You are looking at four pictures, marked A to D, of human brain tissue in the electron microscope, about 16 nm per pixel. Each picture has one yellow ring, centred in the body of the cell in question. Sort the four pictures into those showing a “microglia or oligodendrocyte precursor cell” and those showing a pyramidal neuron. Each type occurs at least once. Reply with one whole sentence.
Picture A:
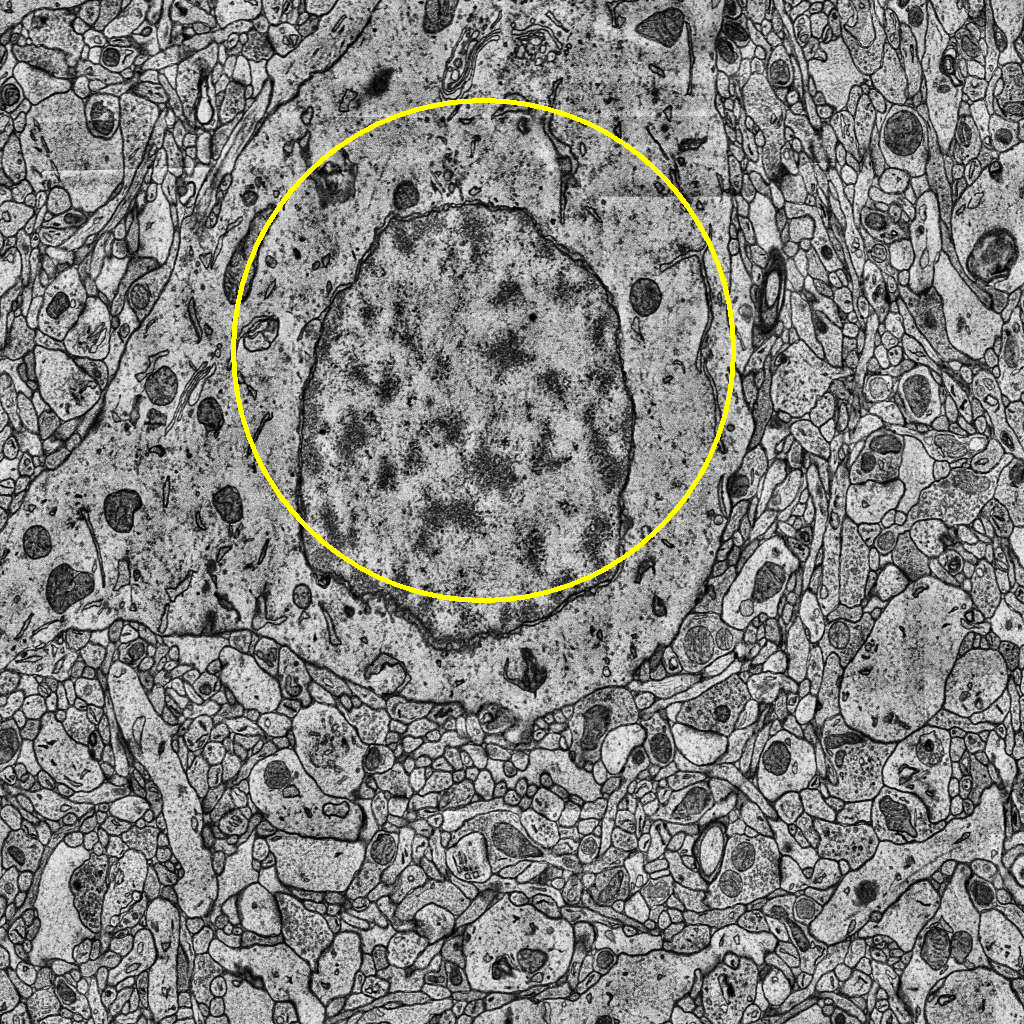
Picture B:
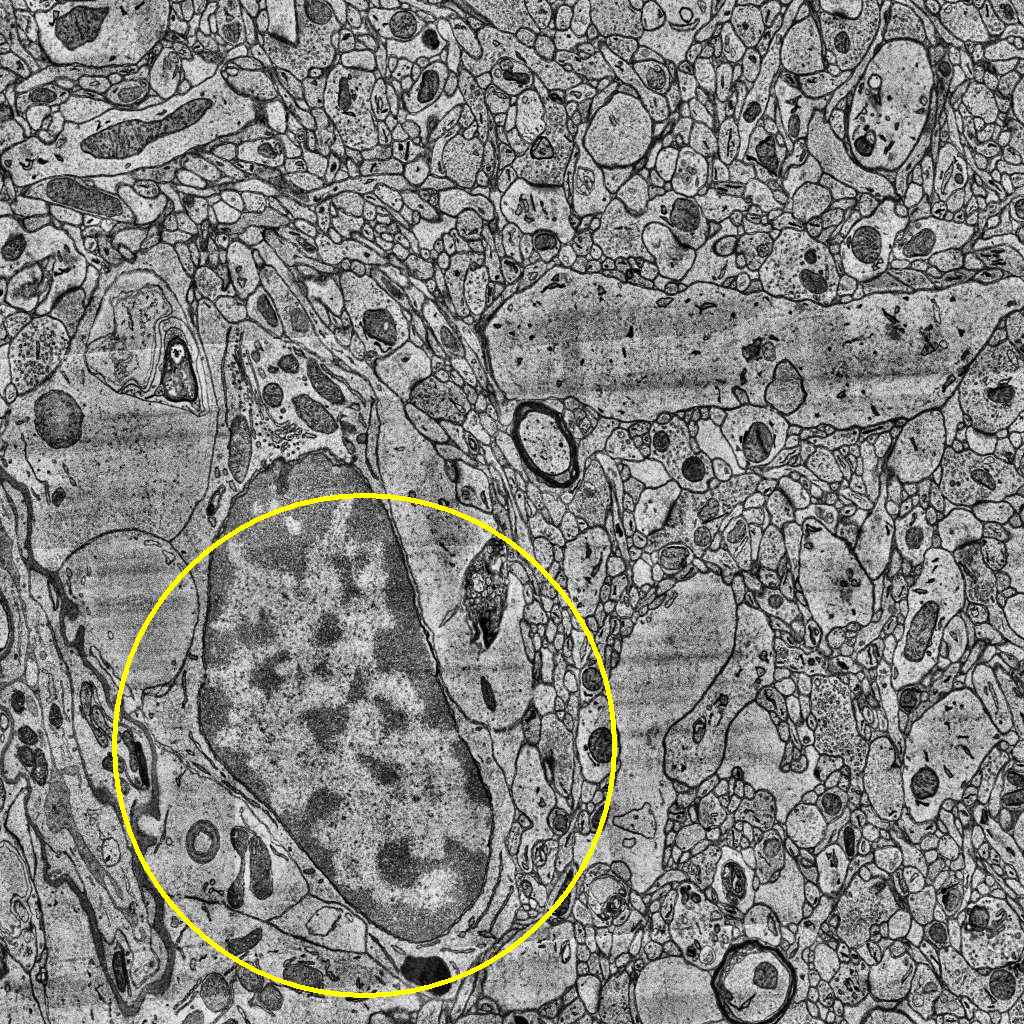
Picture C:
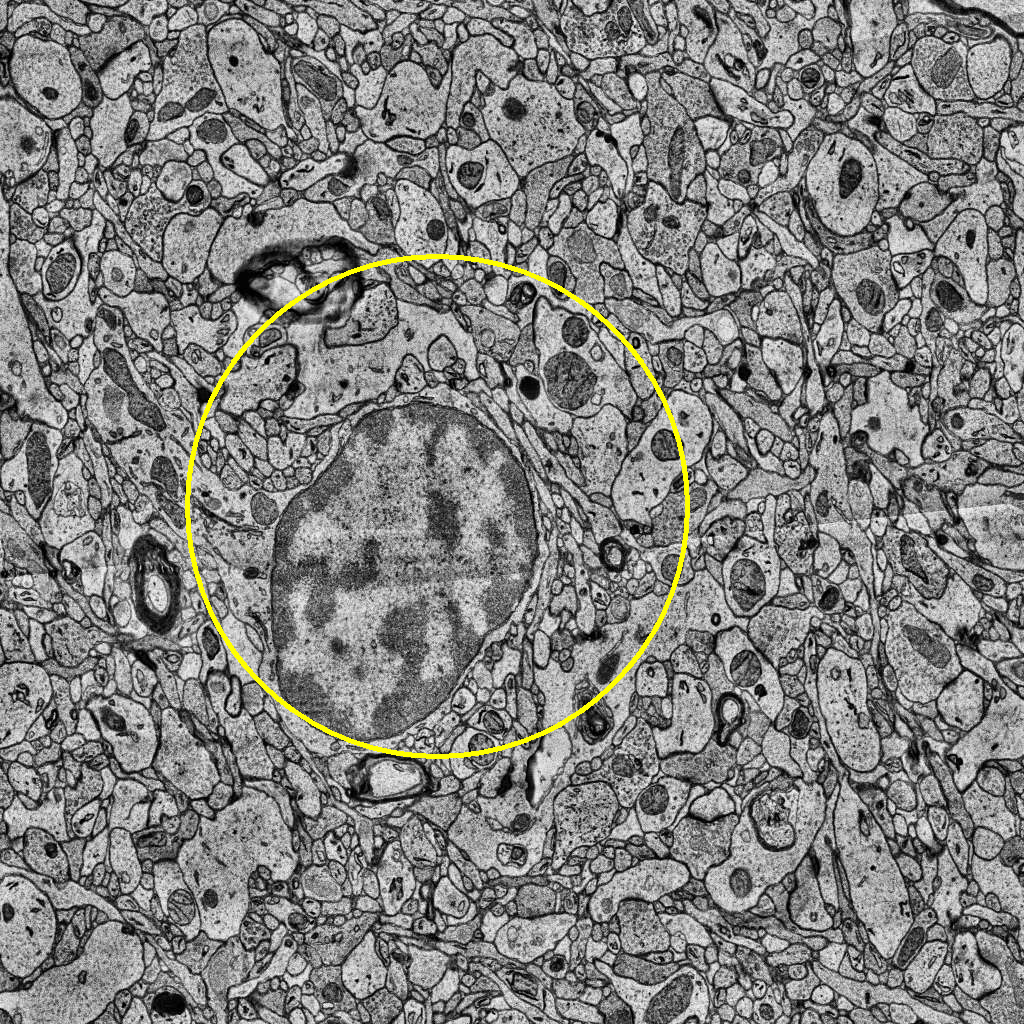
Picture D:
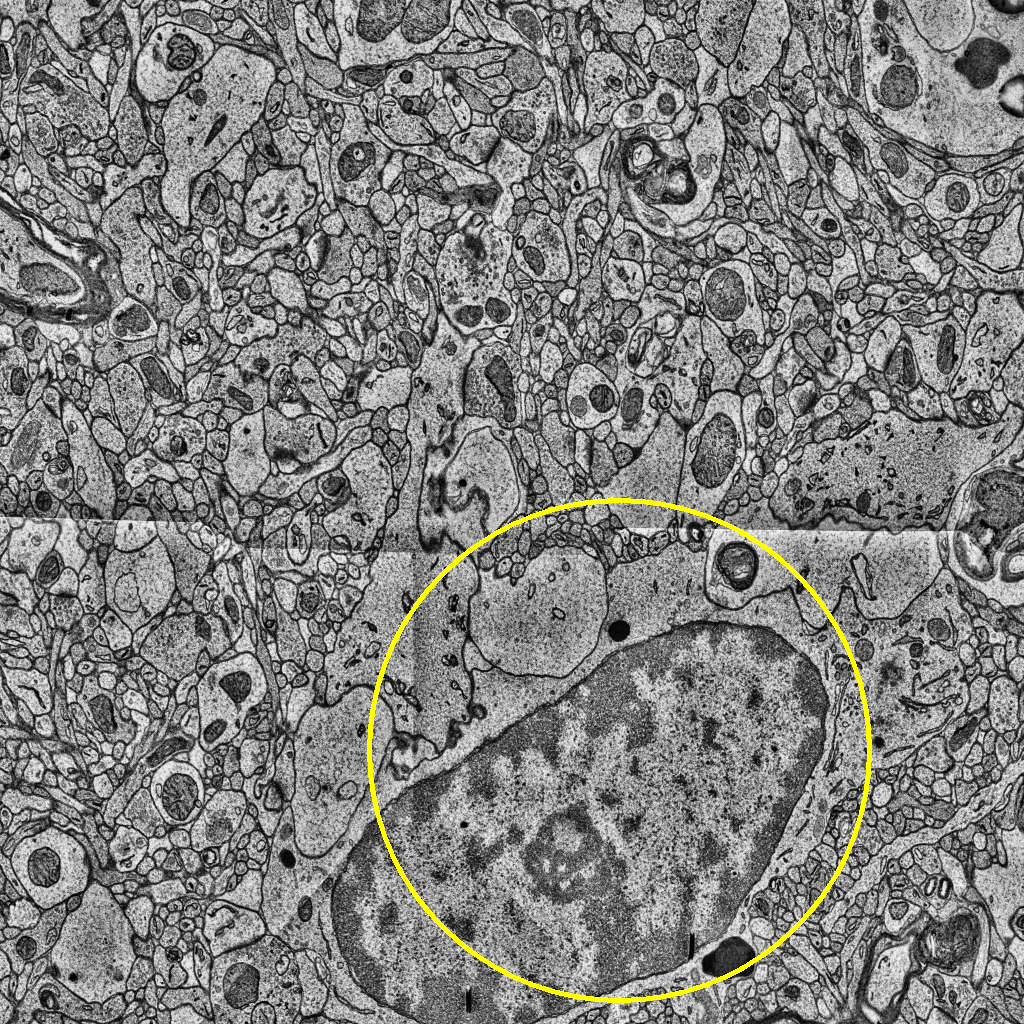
Pictures B, C and D show “microglia or oligodendrocyte precursor cells”, and picture A shows a pyramidal neuron.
